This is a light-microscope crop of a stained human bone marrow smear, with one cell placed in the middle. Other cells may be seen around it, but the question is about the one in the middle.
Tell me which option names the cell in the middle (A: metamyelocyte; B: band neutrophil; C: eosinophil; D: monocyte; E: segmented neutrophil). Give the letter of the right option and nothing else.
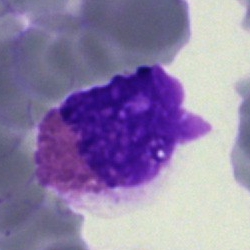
C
